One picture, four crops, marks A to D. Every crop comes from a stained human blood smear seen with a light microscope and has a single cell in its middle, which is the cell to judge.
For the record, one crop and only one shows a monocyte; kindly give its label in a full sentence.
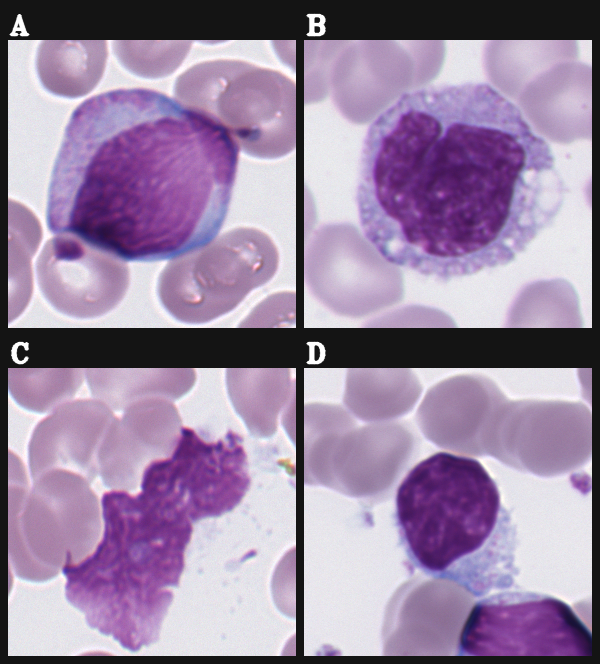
Crop B is the crop whose central cell is a monocyte.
